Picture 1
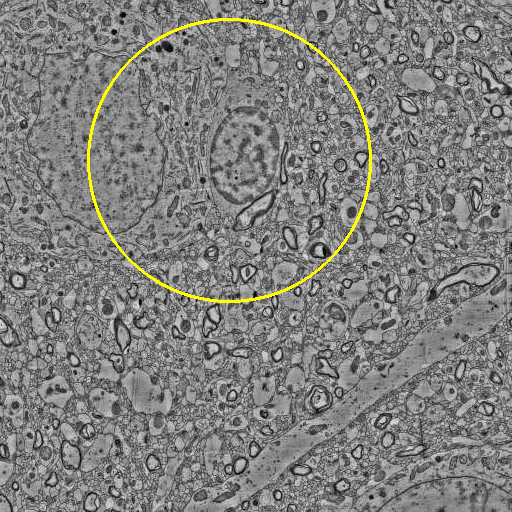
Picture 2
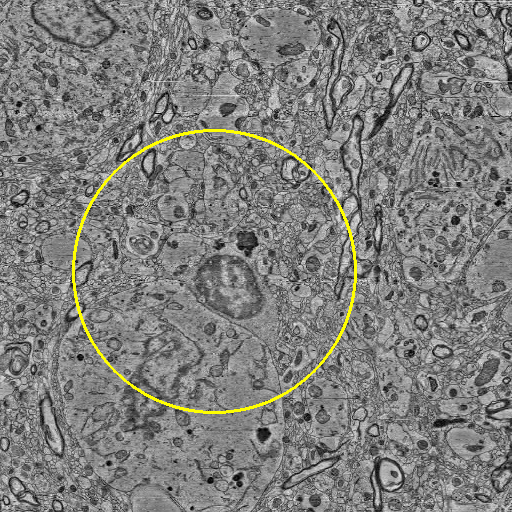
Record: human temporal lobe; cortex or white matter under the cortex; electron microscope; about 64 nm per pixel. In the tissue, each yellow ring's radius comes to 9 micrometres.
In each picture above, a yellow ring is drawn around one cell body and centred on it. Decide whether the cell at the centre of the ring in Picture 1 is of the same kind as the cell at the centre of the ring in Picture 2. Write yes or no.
yes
